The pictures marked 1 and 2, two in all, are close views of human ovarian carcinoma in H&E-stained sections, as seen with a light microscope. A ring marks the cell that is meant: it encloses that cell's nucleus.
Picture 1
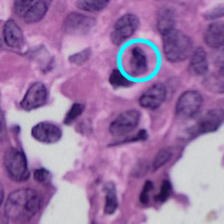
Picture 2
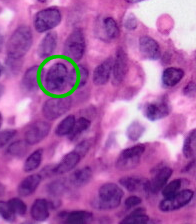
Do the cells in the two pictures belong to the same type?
no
